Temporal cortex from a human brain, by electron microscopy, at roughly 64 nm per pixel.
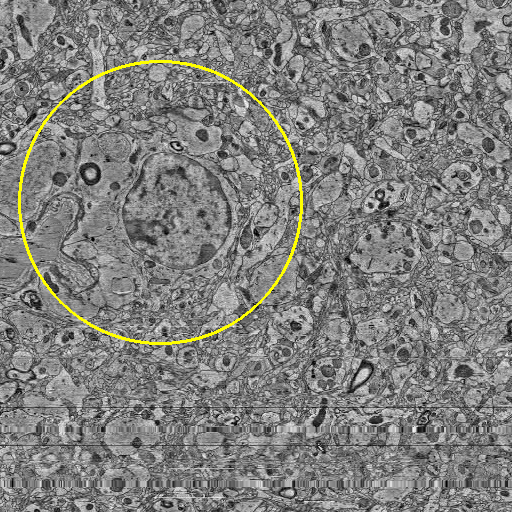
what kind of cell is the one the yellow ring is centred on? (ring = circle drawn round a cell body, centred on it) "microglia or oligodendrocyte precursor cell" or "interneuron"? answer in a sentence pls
The ring is drawn around a microglial cell or oligodendrocyte precursor cell.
